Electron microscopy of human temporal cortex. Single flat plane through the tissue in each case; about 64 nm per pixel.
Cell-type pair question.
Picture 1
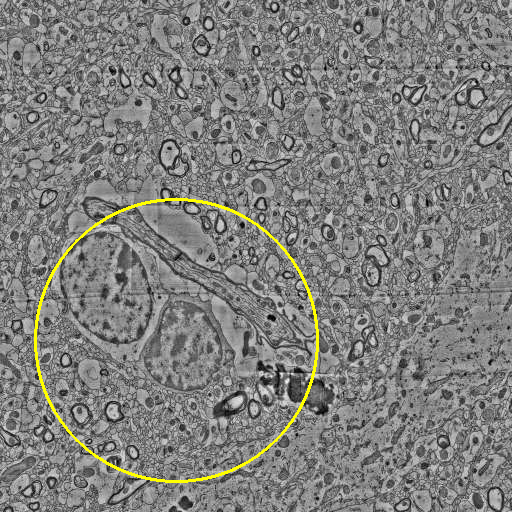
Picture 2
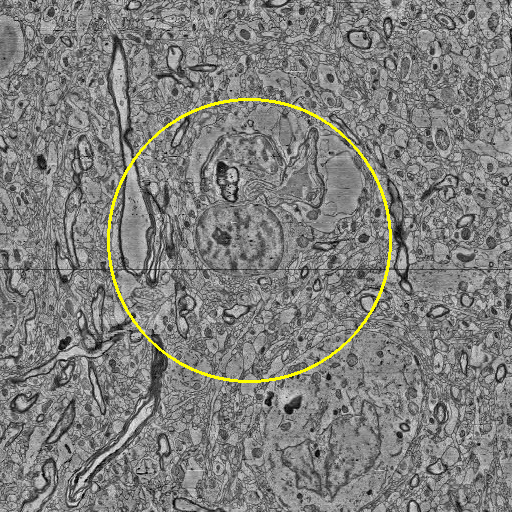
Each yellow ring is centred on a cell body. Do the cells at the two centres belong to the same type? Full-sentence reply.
Yes, the two cells belong to the same type.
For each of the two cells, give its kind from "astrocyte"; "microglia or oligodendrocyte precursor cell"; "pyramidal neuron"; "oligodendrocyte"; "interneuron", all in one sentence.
In the first picture and in the second, the ring is centred on an oligodendrocyte.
